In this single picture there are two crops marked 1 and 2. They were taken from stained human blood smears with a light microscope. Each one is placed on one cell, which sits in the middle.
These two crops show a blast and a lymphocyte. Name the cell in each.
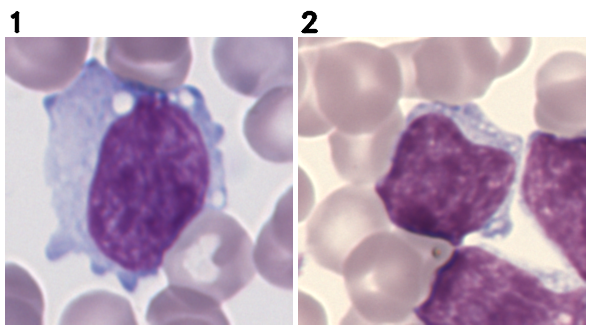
1: blast
2: lymphocyte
